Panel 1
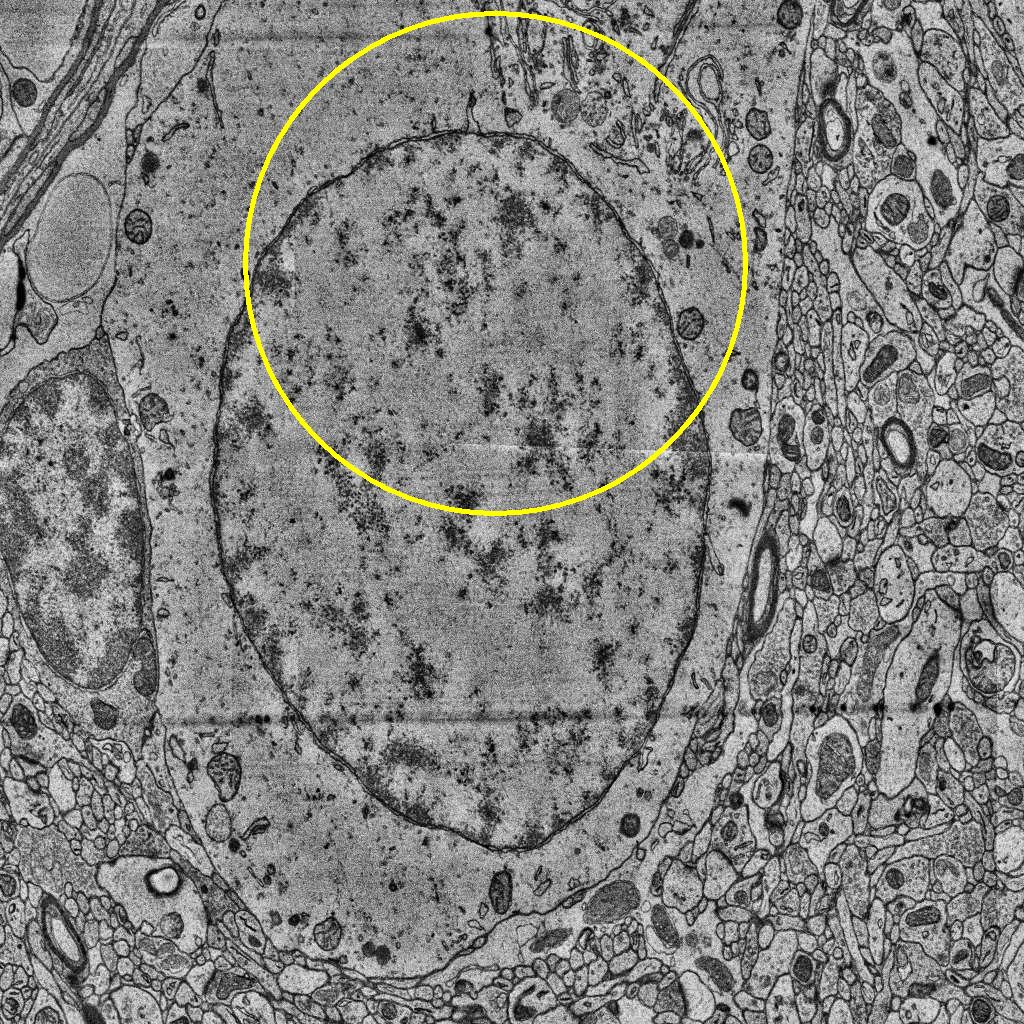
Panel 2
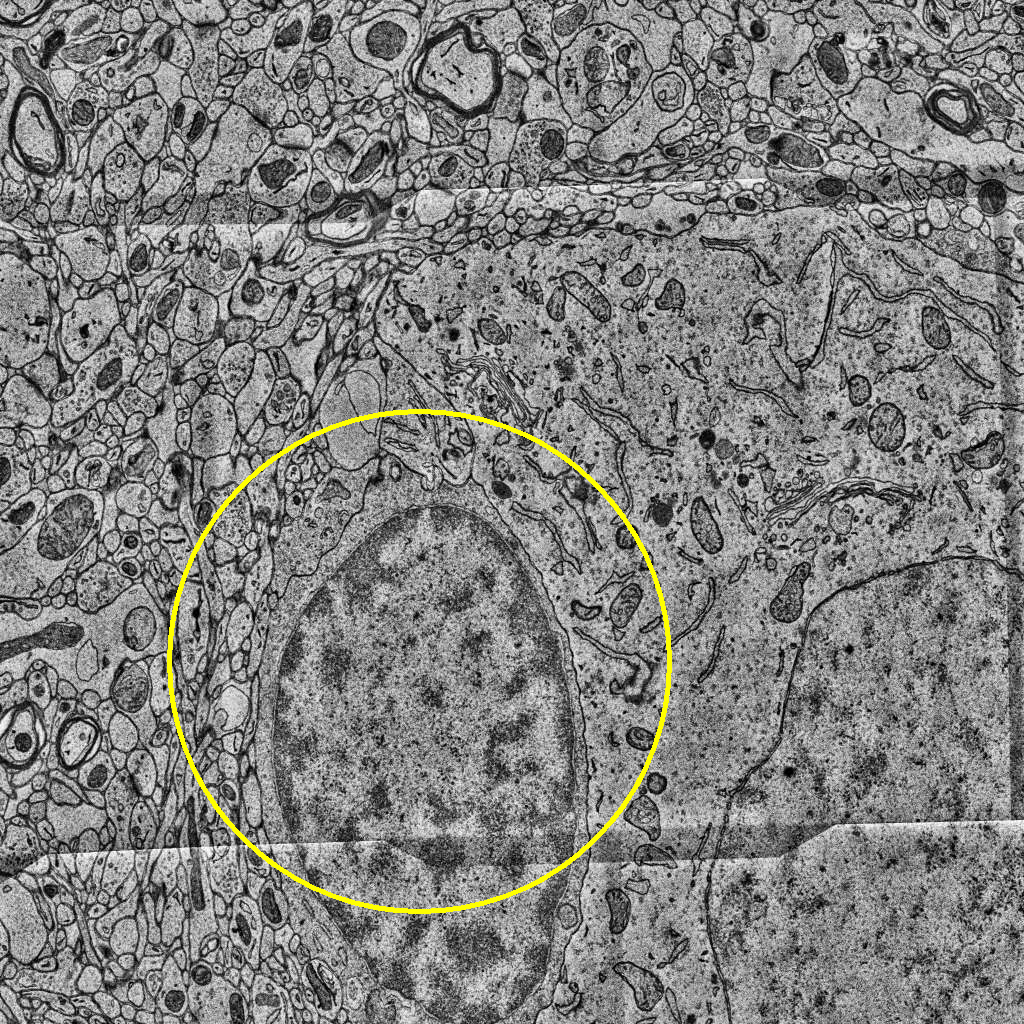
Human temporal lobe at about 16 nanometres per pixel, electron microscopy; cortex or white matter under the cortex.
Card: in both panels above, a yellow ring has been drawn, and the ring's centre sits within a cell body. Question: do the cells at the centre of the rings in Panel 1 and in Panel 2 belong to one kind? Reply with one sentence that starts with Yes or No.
No, the cells at the ring centres of Panel 1 and Panel 2 are two kinds of cell.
